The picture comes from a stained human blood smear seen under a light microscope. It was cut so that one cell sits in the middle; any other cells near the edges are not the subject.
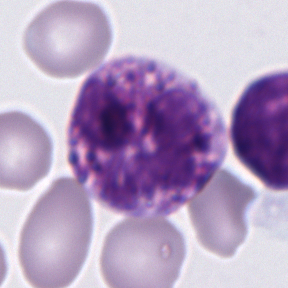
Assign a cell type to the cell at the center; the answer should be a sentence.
The cell occupying the middle of the crop is a basophil.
